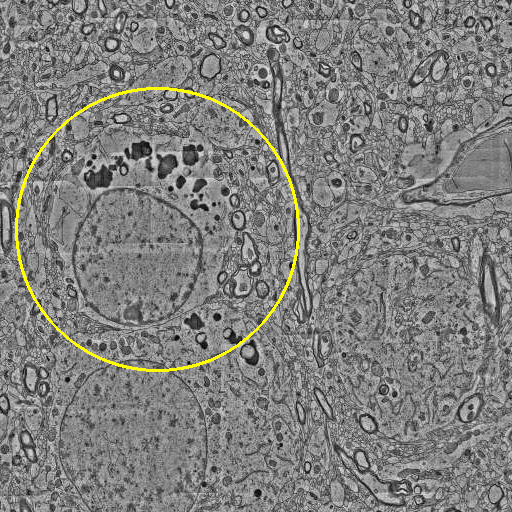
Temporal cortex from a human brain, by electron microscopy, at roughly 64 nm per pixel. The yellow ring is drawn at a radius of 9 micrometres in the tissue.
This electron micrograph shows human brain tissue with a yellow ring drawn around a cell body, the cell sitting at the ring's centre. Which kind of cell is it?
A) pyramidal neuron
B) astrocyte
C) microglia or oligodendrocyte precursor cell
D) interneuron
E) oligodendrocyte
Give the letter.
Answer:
B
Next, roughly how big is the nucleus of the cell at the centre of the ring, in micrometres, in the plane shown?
In this plane the nucleus is about 9 micrometres across.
